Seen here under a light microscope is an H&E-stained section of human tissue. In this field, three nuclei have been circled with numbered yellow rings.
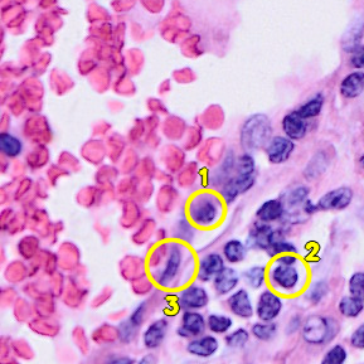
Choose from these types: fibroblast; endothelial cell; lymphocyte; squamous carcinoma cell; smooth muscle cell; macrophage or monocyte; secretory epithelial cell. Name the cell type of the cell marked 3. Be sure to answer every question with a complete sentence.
The numbered cell 3 in this field is an endothelial cell.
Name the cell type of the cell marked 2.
The cell whose nucleus carries the number 2 is a lymphocyte.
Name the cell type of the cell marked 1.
The nucleus marked 1 is the nucleus of a lymphocyte.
